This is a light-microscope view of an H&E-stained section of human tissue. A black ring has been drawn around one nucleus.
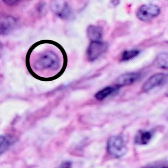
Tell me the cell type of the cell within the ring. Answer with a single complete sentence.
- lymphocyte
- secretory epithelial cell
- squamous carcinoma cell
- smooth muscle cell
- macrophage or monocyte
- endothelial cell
Within this tissue, the cell within the ring is a macrophage or monocyte.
